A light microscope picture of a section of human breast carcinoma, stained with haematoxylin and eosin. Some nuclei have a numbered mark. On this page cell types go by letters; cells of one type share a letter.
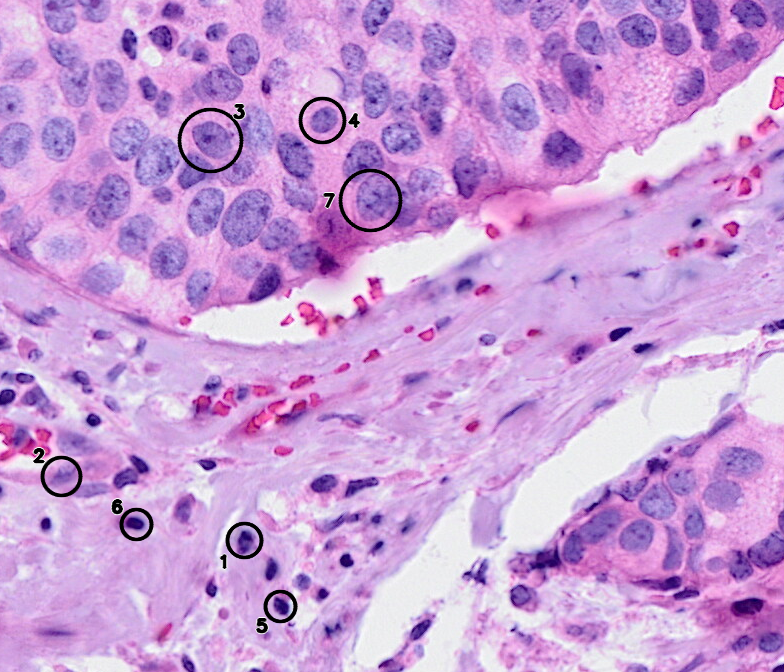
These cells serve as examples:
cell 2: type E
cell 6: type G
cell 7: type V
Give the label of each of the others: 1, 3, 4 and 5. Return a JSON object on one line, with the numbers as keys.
{"1": "type G", "3": "type V", "4": "type V", "5": "type G"}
